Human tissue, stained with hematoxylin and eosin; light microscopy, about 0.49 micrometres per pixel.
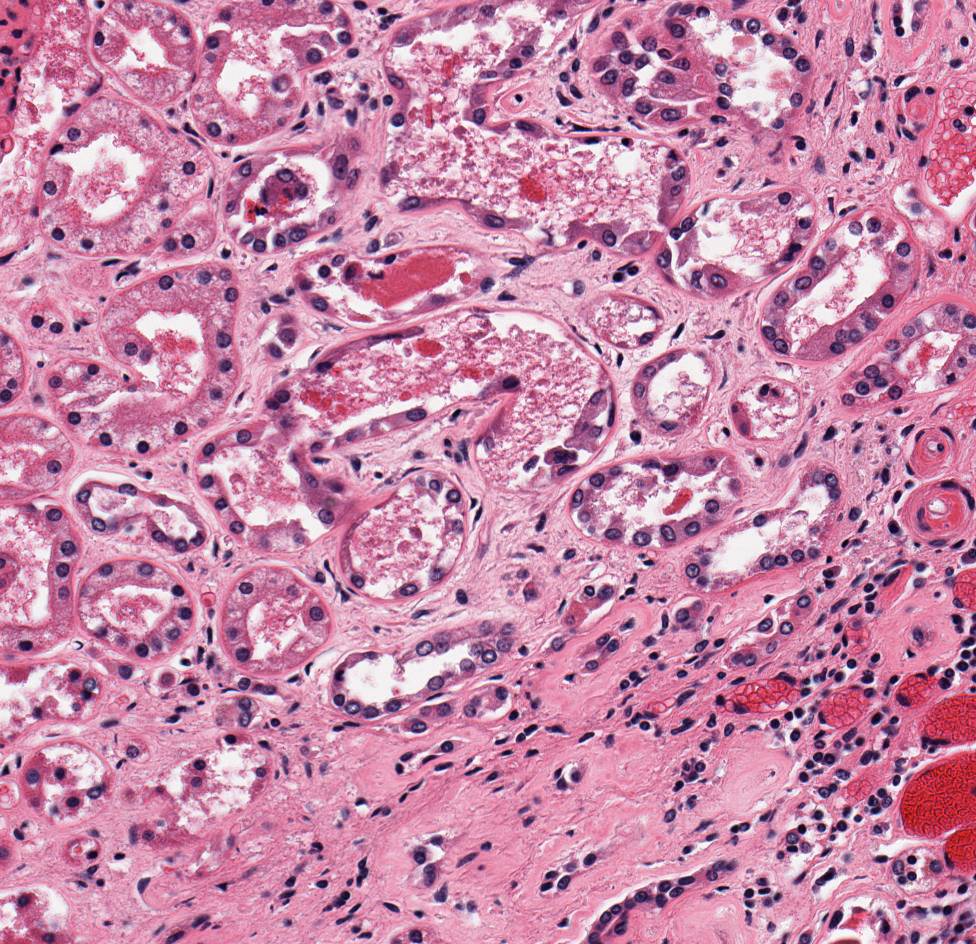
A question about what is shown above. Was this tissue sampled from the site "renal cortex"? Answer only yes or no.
yes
